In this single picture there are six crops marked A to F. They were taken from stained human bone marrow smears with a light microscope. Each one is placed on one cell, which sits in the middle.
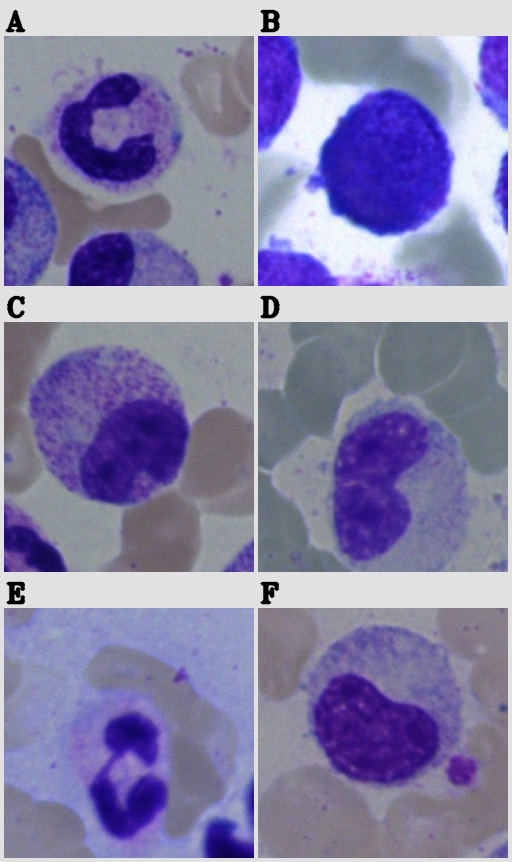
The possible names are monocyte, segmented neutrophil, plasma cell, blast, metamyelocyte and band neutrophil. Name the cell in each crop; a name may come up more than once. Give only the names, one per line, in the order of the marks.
segmented neutrophil
blast
metamyelocyte
metamyelocyte
segmented neutrophil
metamyelocyte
